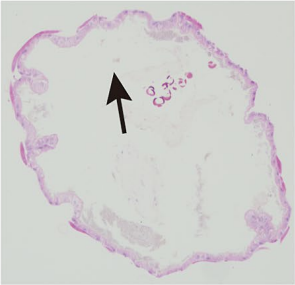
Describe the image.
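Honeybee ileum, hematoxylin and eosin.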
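The epithelium forms only low, flattened bumps along the wall instead of tall inward folds, and its cells are pale and poorly outlined. A few small pink and reddish fragments lie free in the lumen near the upper part. The lumen appears dilated, and the fold structure of the lining is largely disrupted.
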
